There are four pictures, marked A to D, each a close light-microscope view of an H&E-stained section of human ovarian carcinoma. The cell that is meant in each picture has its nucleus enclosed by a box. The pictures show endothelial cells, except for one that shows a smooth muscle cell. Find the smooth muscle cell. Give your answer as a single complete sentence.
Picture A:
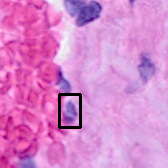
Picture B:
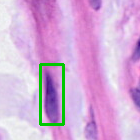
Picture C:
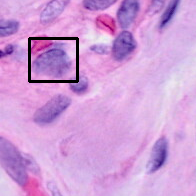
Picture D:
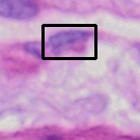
It is picture B that shows the smooth muscle cell.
